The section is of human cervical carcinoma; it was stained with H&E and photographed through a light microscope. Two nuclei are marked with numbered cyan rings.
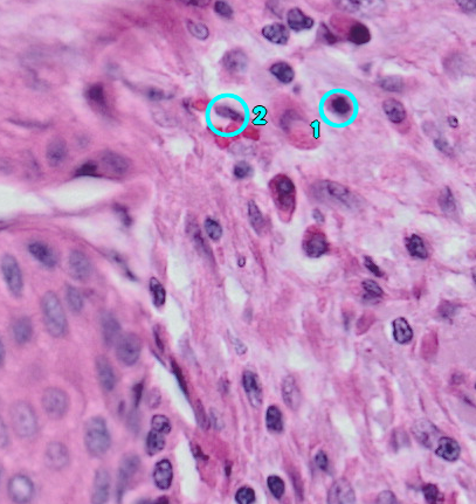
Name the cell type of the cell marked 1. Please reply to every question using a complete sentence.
The numeral 1 marks a lymphocyte in this section.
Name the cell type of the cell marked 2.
The label 2 in this section denotes an endothelial cell.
